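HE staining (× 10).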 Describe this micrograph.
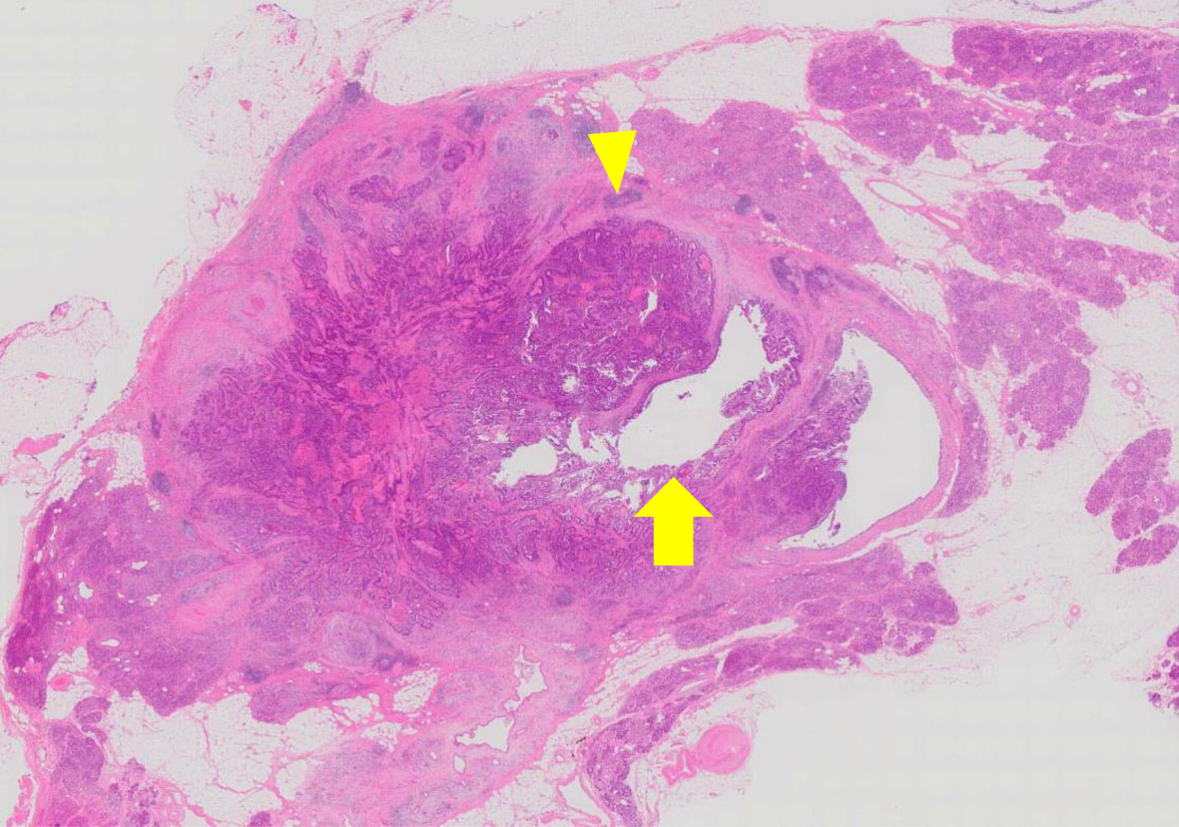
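This is a low-power section of pancreas in which a large mass of crowded, irregular, dark purple glands sits in dense pink fibrous stroma around a dilated, irregular duct lumen. The glandular tumour tissue reaches into the lining of that duct and spreads into the surrounding stroma. Toward the right and along the edges, paler lobules of normal glandular parenchyma are separated by white fat.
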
